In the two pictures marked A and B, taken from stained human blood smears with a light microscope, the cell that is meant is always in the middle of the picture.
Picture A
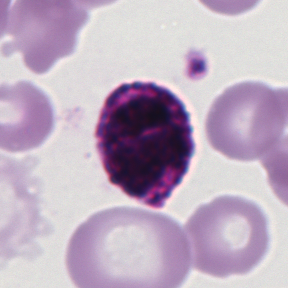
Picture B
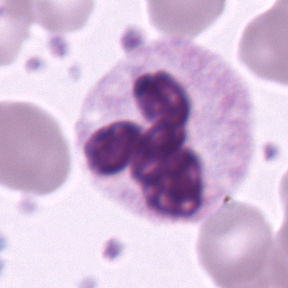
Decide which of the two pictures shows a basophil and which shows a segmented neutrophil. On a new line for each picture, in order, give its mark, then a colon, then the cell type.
A: basophil
B: segmented neutrophil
